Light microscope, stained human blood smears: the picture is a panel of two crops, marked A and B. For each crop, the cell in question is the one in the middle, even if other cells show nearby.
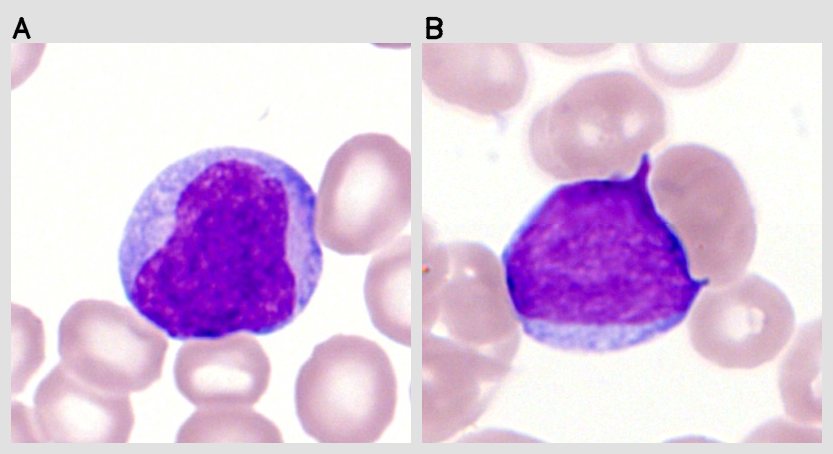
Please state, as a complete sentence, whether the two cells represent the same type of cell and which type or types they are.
Yes, in the two crops, myeloblasts are the cells at the centre.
